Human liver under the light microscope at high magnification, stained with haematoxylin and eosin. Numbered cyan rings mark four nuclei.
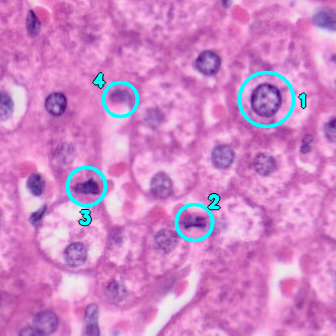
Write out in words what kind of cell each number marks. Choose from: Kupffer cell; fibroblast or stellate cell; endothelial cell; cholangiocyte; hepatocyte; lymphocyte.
Cell 1 is a hepatocyte. Cells 2 and 4 are endothelial cells. Cell 3 is a fibroblast or stellate cell.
